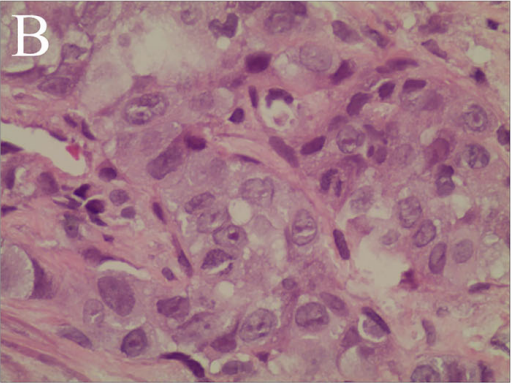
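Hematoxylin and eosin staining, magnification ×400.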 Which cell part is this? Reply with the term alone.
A: Abundant eosinophilic cytoplasm.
